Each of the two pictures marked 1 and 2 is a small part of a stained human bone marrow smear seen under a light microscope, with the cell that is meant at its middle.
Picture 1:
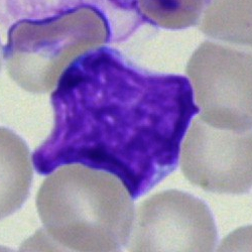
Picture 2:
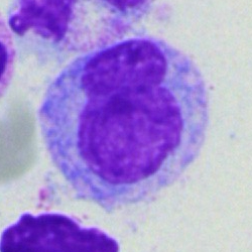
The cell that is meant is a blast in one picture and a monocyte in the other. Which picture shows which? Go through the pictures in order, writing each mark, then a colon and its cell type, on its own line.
1: blast
2: monocyte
